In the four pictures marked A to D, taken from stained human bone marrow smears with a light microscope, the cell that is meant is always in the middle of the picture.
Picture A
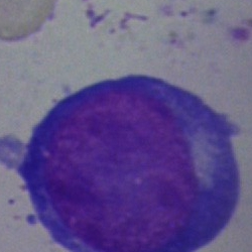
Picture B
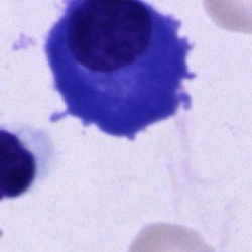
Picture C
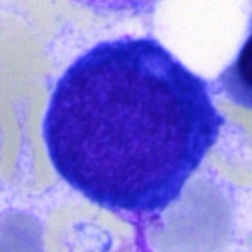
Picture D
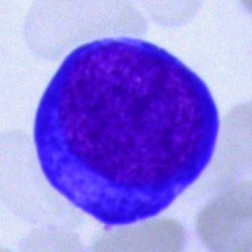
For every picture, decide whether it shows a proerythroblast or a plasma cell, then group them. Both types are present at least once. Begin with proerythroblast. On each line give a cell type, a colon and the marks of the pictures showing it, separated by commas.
proerythroblast: A, C, D
plasma cell: B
